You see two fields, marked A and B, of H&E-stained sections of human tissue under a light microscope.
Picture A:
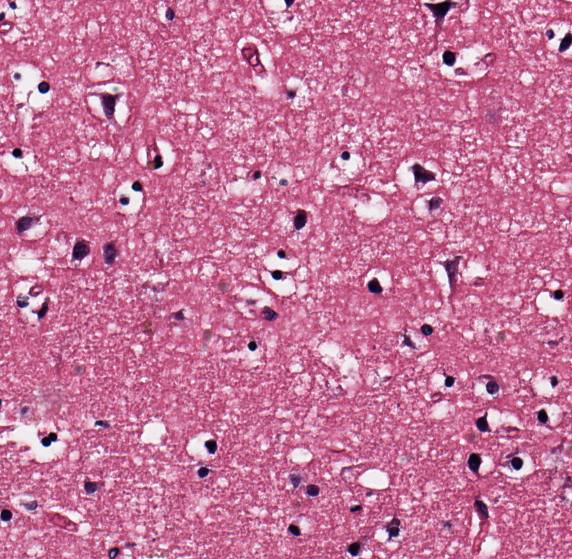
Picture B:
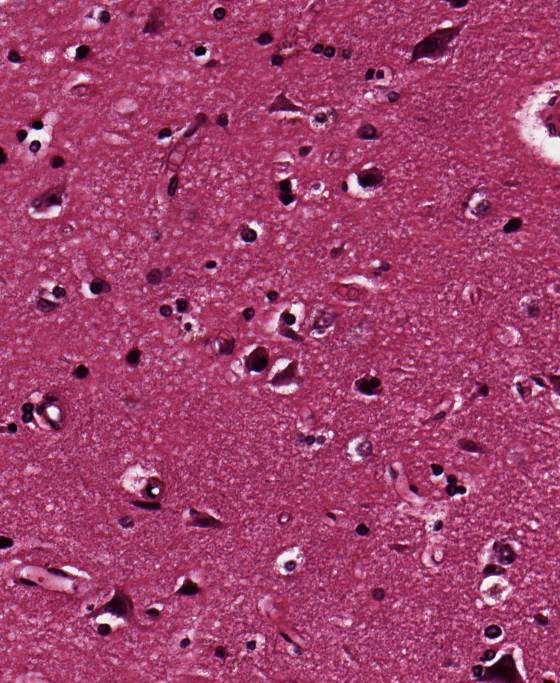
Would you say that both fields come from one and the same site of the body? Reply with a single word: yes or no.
yes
